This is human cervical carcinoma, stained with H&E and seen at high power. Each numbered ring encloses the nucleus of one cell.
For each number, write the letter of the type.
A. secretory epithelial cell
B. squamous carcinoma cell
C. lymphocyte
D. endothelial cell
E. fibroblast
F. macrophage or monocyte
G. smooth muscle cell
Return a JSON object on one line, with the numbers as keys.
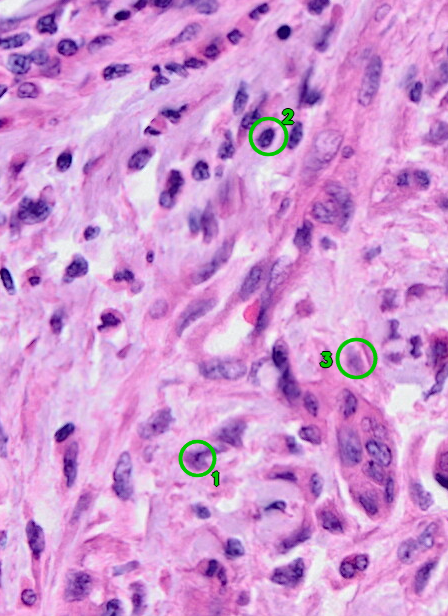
{"1": "E", "2": "C", "3": "E"}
